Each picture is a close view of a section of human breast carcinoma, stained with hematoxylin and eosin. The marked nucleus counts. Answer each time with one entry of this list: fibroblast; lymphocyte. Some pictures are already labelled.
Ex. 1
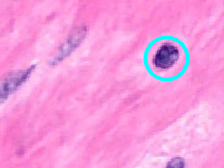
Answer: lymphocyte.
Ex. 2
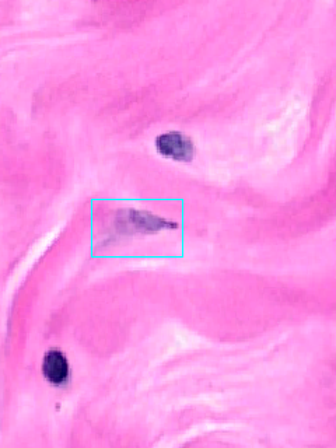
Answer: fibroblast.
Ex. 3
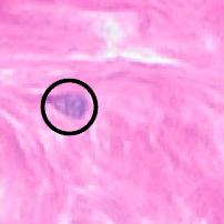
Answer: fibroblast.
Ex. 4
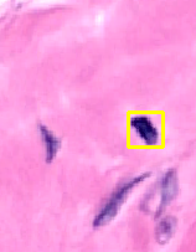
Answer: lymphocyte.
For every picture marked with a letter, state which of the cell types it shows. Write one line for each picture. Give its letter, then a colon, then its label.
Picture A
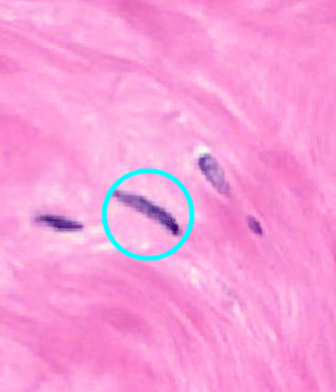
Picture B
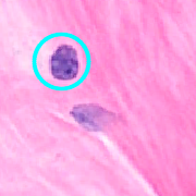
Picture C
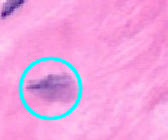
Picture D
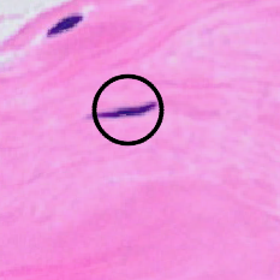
A: fibroblast.
B: lymphocyte.
C: fibroblast.
D: fibroblast.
